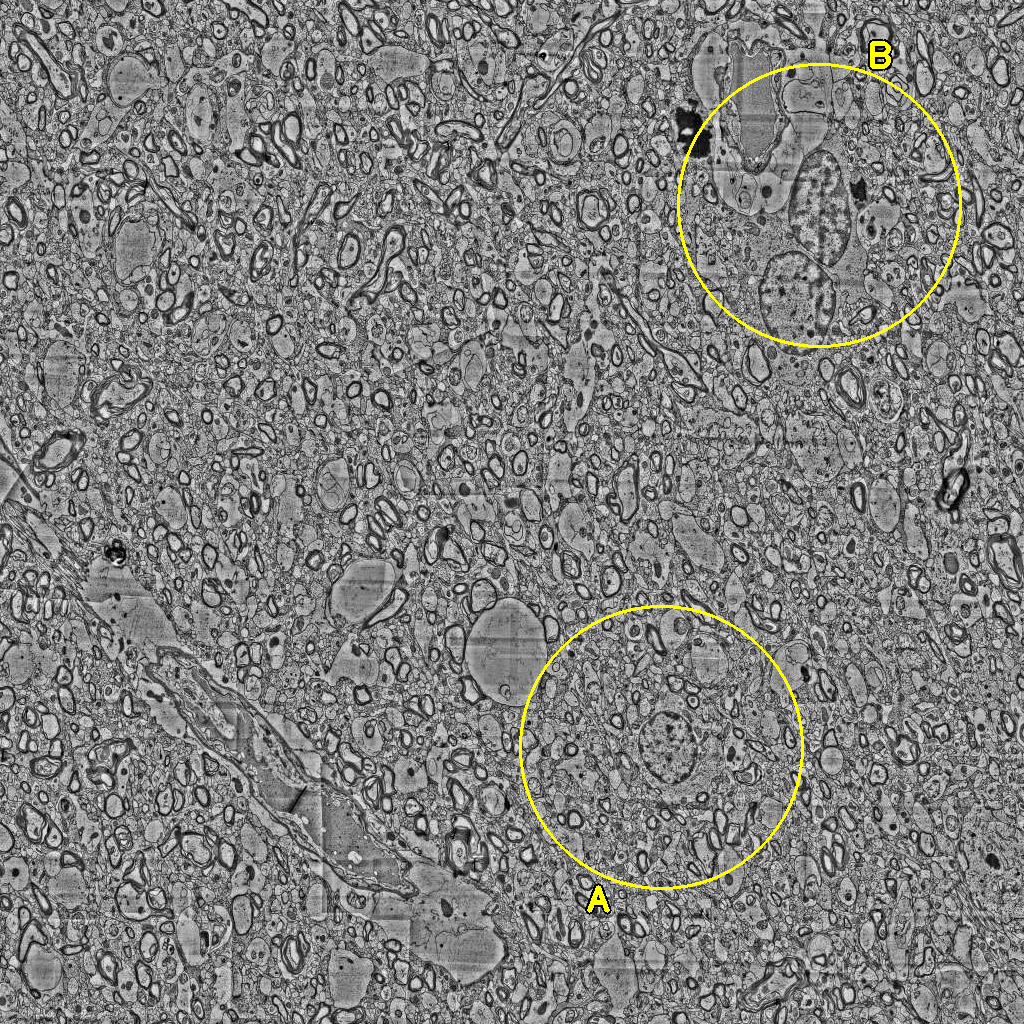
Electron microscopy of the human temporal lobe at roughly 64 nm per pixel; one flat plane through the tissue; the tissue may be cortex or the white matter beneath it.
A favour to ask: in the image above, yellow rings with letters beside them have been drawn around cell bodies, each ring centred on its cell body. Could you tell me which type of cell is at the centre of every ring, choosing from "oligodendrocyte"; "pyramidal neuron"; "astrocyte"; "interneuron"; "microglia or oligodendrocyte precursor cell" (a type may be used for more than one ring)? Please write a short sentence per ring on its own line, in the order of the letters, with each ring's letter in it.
Ring A holds a microglial cell or oligodendrocyte precursor cell at its centre.
Ring B holds an oligodendrocyte at its centre.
